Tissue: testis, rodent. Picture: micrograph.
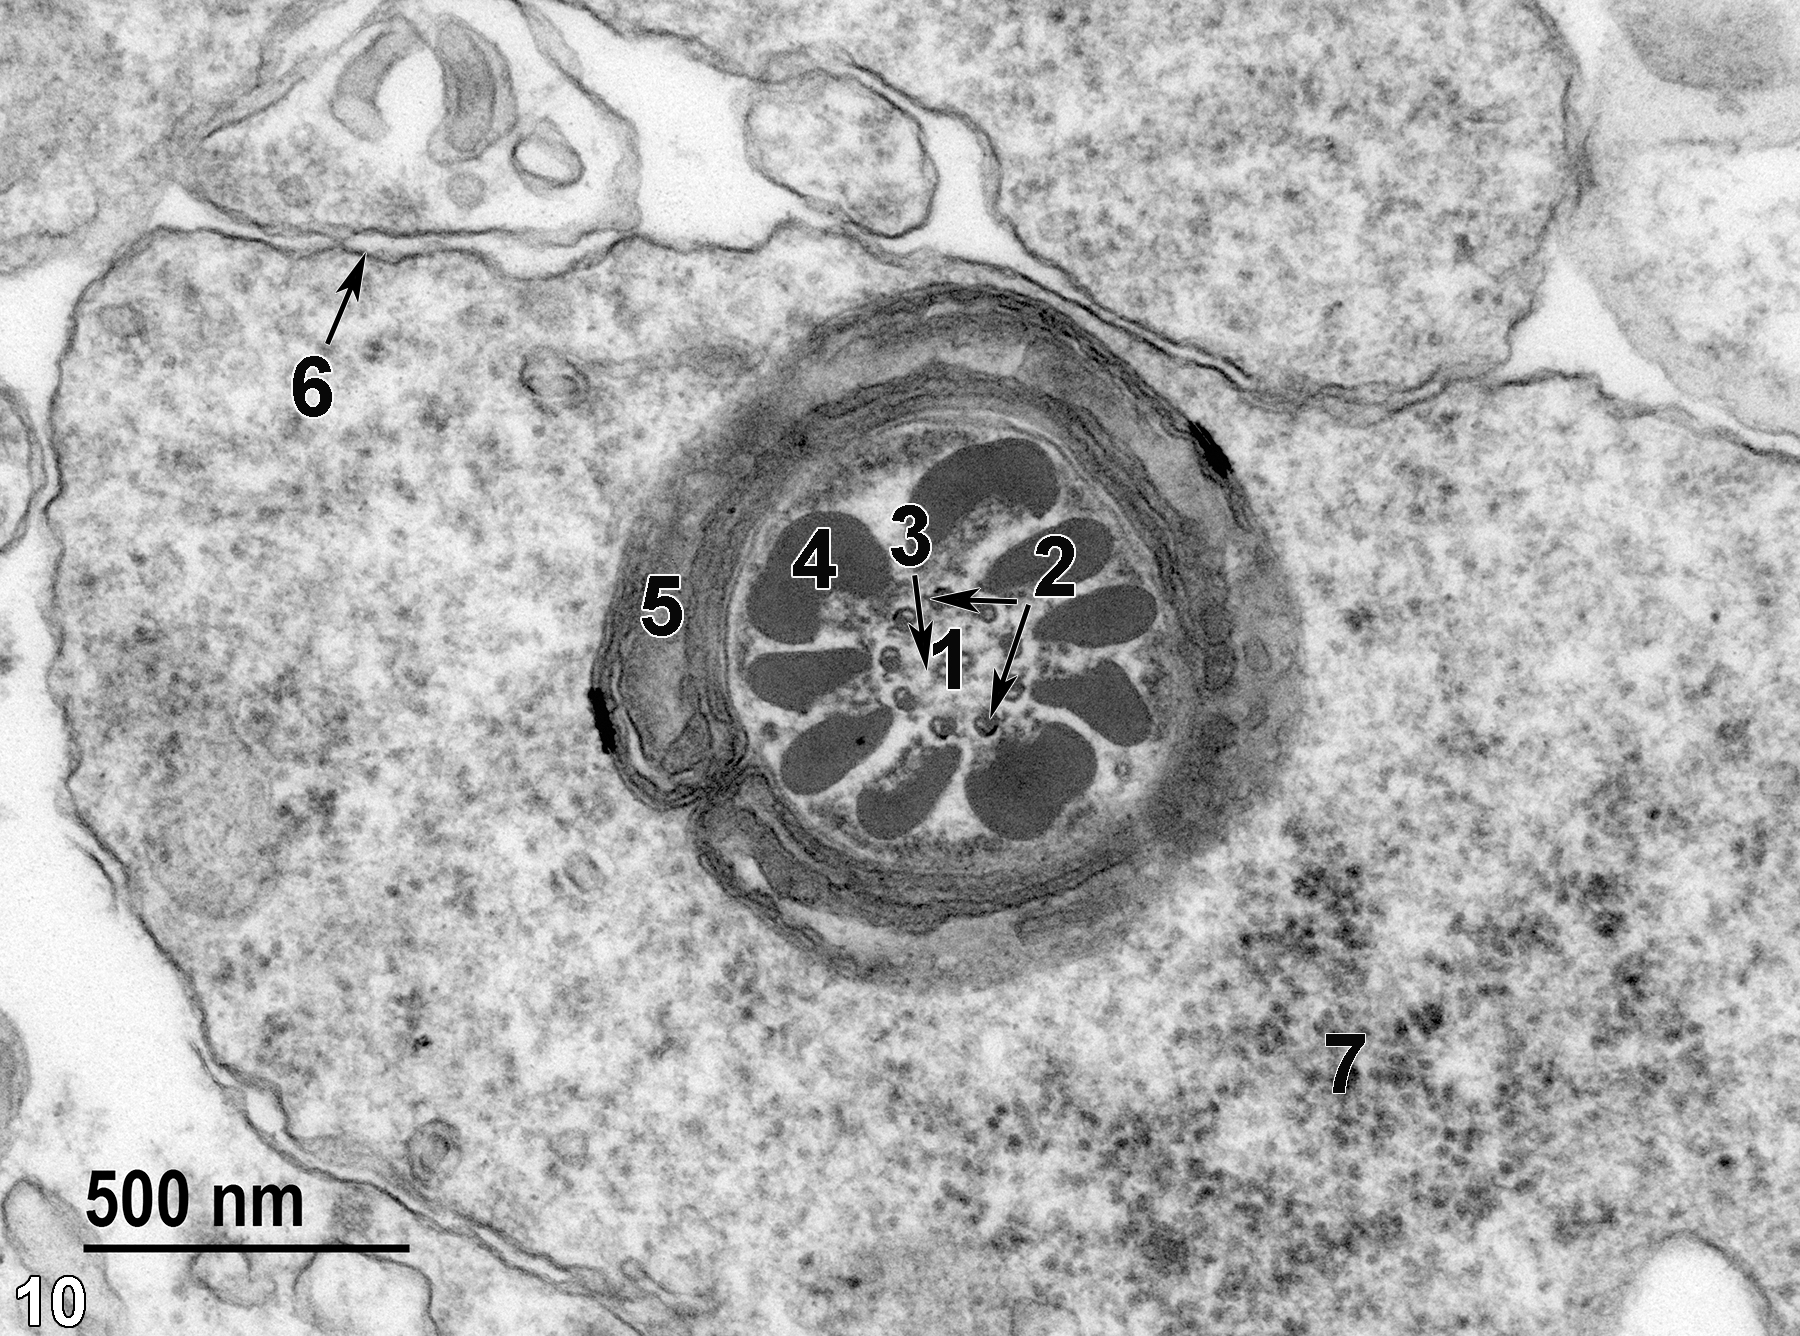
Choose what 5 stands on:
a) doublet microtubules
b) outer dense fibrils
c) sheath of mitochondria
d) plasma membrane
c) sheath of mitochondria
